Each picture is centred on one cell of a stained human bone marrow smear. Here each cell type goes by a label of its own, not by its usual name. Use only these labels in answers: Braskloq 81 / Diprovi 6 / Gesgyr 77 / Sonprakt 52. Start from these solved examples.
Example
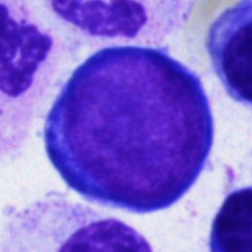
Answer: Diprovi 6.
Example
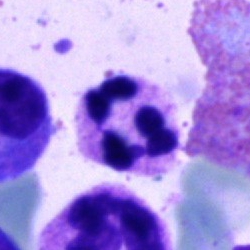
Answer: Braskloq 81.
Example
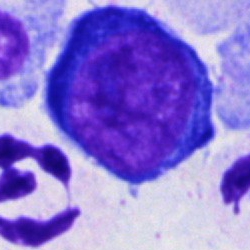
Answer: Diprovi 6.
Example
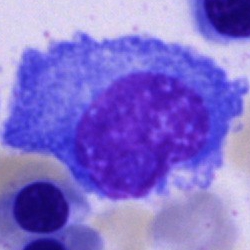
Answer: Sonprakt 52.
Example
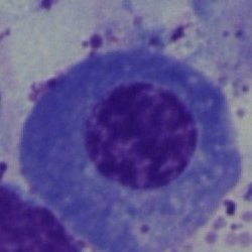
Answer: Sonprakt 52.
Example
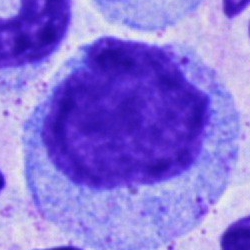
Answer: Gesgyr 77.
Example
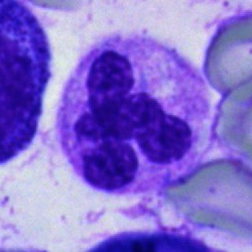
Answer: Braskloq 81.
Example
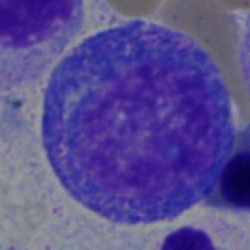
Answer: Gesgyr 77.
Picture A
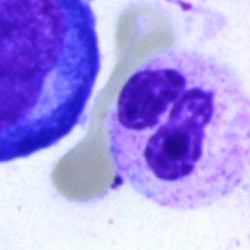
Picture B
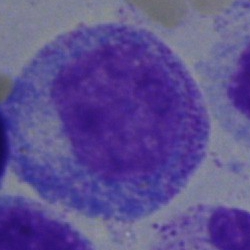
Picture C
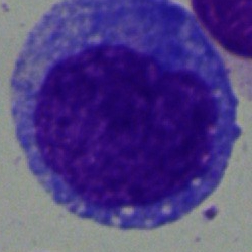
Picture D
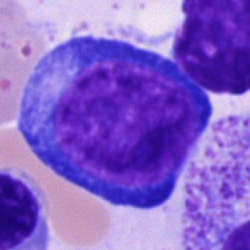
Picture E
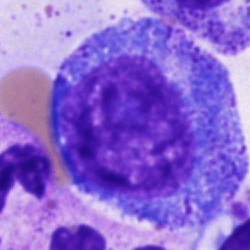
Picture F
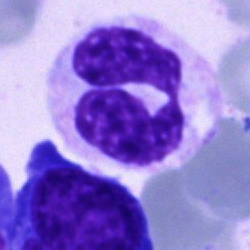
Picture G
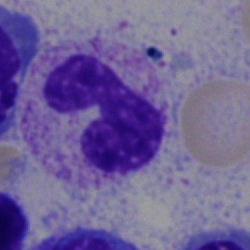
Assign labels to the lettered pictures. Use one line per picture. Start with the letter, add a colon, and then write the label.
A: Braskloq 81.
B: Gesgyr 77.
C: Gesgyr 77.
D: Diprovi 6.
E: Gesgyr 77.
F: Braskloq 81.
G: Braskloq 81.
